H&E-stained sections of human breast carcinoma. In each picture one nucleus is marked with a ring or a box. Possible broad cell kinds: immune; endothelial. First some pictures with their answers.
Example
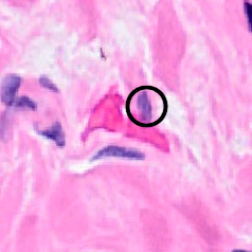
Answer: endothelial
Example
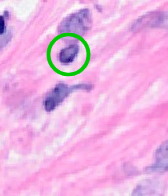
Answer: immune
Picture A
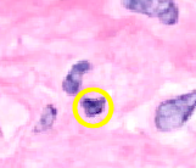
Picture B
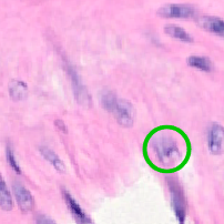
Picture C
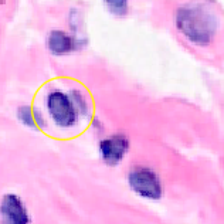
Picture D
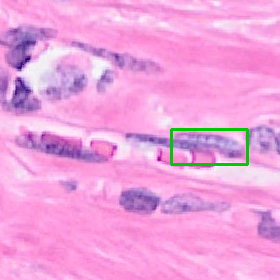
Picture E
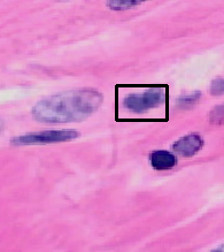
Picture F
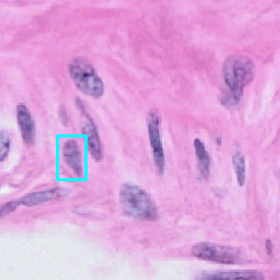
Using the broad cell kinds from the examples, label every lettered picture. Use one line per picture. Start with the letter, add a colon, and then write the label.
A: immune
B: endothelial
C: immune
D: endothelial
E: immune
F: endothelial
